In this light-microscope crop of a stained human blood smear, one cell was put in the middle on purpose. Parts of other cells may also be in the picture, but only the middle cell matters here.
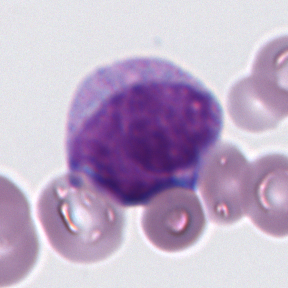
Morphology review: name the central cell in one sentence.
The center cell of this crop is an atypical promyelocyte.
